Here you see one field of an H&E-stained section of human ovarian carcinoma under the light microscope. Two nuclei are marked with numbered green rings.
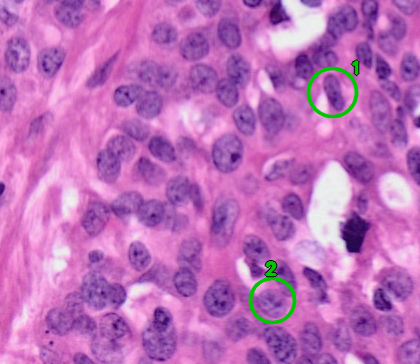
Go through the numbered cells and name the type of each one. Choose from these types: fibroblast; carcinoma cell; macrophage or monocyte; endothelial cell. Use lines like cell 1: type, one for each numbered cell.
cell 1: macrophage or monocyte
cell 2: carcinoma cell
